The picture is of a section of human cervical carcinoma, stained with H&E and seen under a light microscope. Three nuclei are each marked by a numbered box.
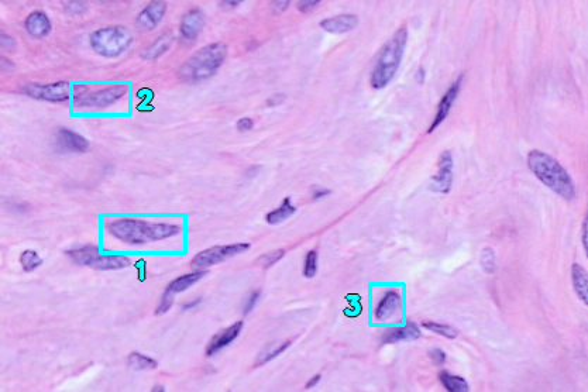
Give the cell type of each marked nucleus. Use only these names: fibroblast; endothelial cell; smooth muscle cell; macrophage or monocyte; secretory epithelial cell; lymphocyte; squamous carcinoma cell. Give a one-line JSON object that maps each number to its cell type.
{"1": "fibroblast", "2": "smooth muscle cell", "3": "fibroblast"}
